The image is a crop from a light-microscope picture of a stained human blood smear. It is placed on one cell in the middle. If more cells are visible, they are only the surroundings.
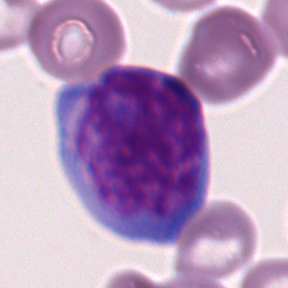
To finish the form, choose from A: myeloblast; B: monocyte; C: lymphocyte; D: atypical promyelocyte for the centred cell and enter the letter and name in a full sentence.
The cell in the centre of the crop is a myeloblast, so option A is the correct one.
